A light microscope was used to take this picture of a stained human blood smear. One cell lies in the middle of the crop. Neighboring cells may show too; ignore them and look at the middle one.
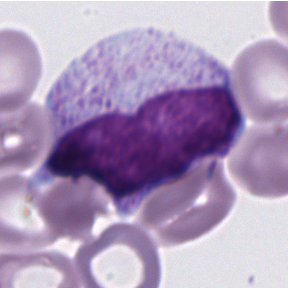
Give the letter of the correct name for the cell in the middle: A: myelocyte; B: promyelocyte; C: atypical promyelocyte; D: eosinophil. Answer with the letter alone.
A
